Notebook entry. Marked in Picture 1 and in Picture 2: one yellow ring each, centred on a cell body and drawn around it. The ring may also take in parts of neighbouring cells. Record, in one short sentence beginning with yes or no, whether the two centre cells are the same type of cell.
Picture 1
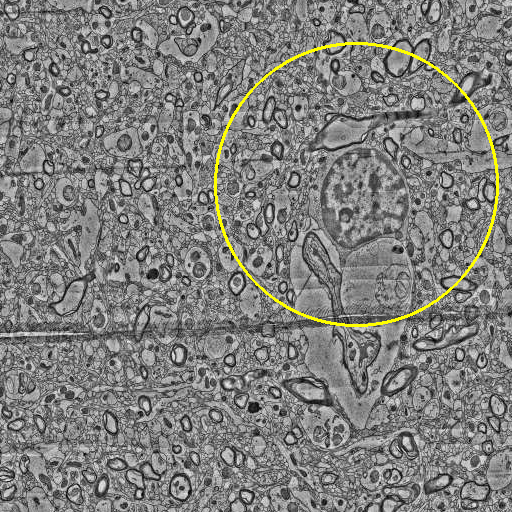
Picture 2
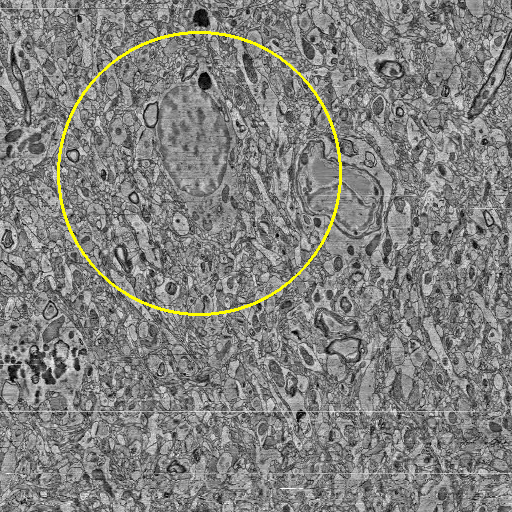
Yes, both are the same type of cell.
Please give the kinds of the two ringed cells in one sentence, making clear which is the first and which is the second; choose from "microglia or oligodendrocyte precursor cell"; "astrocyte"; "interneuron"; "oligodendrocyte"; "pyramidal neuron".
Each one of the two ringed cells is an oligodendrocyte.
